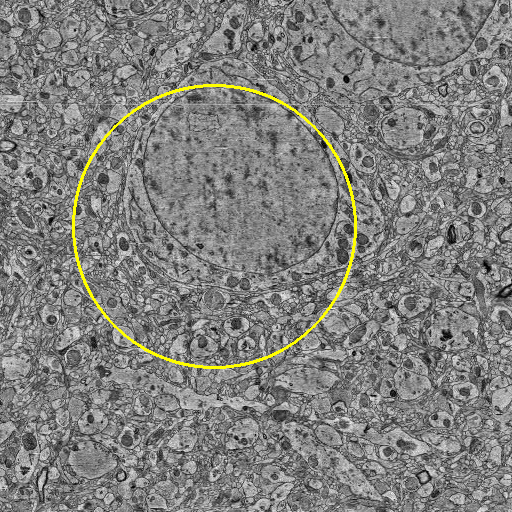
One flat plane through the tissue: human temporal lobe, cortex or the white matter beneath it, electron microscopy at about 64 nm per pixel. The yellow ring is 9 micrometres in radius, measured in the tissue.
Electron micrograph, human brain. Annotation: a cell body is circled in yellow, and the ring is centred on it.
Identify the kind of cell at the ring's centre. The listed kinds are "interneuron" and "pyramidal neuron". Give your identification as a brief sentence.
The circled cell body is that of a pyramidal neuron.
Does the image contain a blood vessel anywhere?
No, no blood vessel can be seen.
